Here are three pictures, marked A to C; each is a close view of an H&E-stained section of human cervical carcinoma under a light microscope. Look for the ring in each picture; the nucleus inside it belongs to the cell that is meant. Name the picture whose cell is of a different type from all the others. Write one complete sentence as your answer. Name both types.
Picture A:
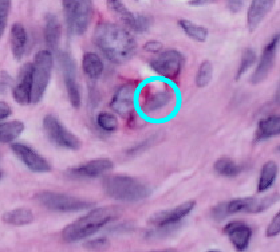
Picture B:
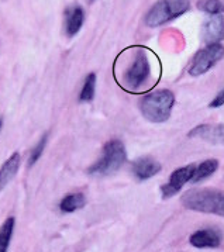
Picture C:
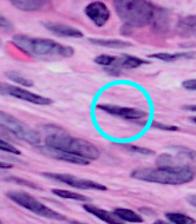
All pictures except C show endothelial cells; picture C shows a fibroblast.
